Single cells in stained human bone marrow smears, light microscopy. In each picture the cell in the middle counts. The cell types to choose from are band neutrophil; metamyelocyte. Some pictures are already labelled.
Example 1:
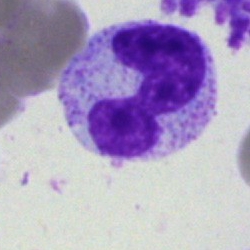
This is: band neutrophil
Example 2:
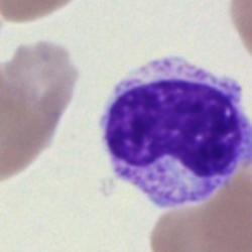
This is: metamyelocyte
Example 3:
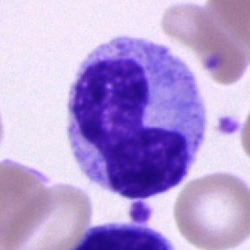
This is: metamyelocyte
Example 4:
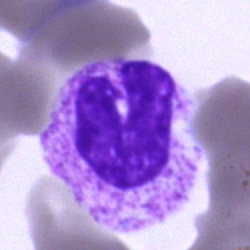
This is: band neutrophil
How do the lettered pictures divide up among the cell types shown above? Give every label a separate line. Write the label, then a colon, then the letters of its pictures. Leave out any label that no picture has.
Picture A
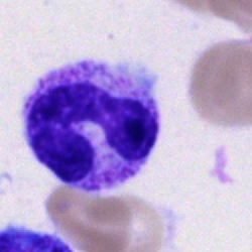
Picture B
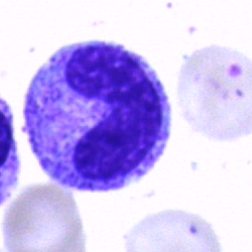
band neutrophil: A, B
